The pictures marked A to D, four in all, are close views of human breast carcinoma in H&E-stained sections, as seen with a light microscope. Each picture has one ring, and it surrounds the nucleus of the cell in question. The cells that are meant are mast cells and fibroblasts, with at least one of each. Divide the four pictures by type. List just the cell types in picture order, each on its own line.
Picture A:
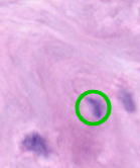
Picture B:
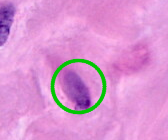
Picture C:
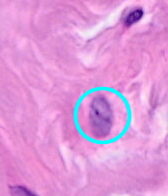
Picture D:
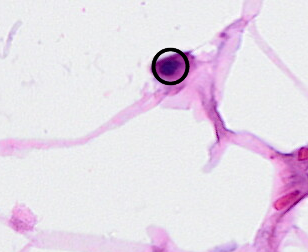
fibroblast
fibroblast
fibroblast
mast cell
